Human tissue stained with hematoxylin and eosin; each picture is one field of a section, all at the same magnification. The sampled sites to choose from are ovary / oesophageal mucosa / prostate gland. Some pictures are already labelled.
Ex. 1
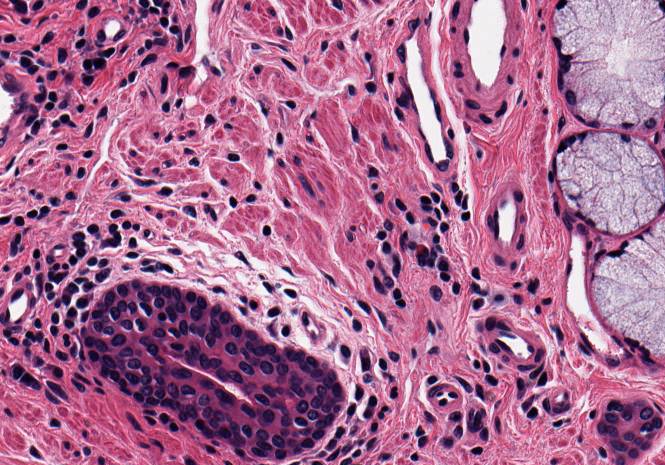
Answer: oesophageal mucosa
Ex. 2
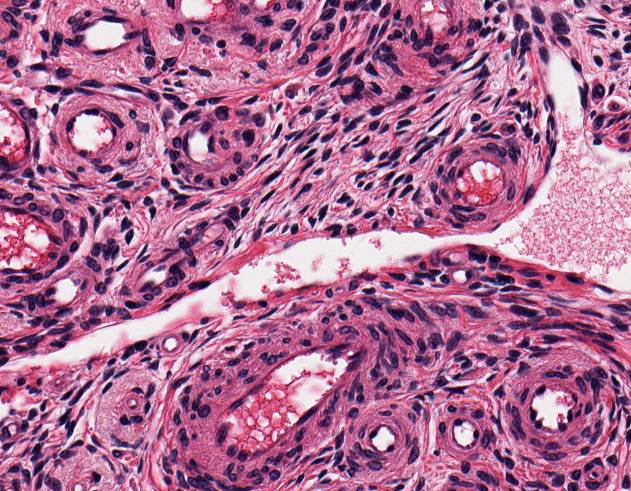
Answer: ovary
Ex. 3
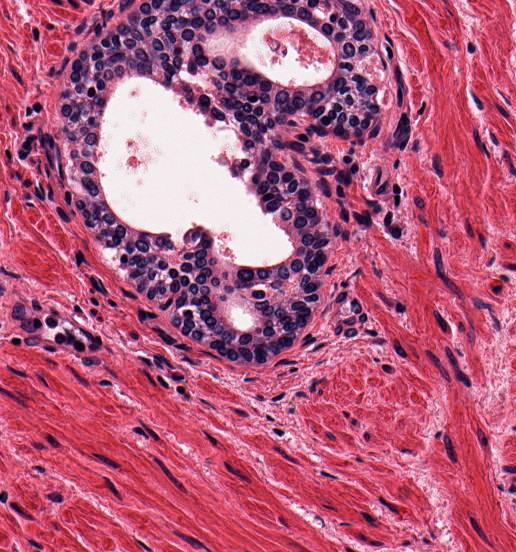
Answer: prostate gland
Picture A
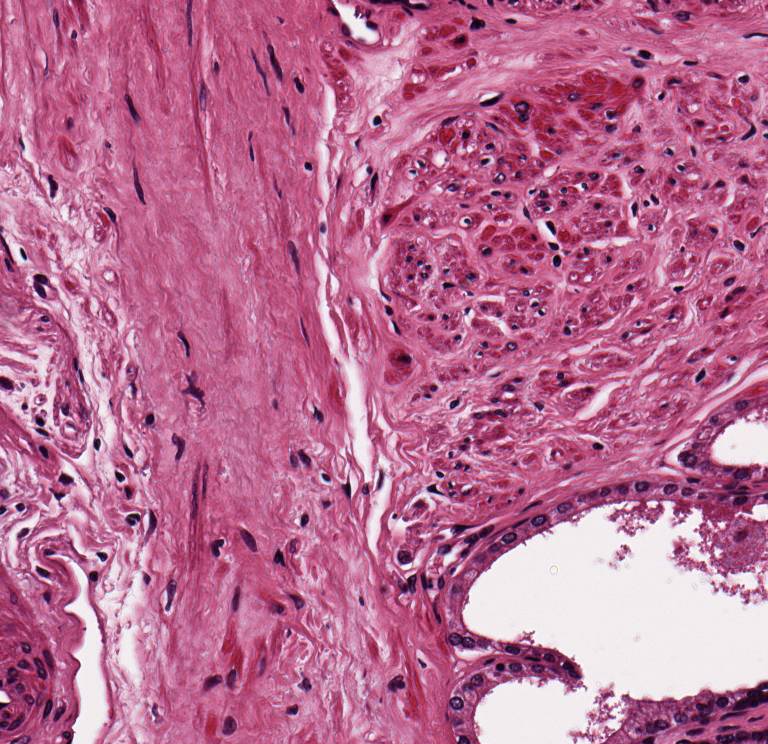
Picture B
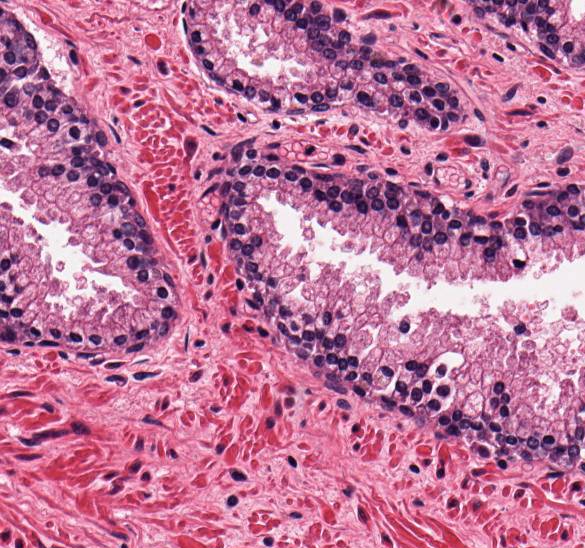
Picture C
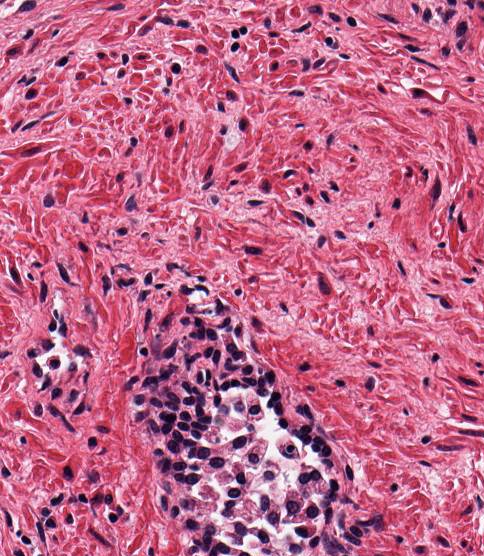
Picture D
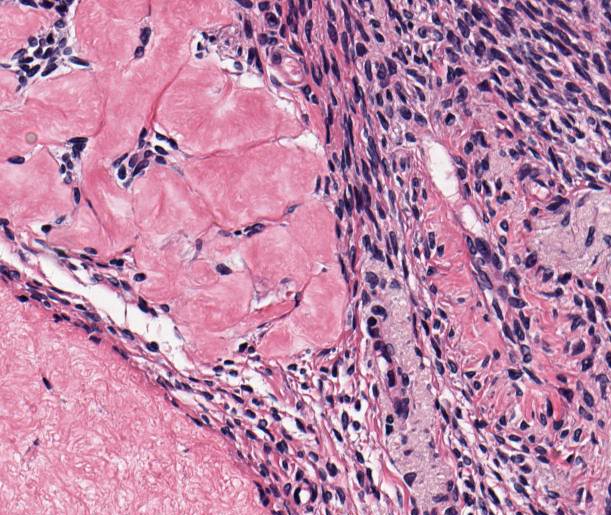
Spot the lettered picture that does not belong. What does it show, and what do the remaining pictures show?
D: ovary; all the others: prostate gland.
